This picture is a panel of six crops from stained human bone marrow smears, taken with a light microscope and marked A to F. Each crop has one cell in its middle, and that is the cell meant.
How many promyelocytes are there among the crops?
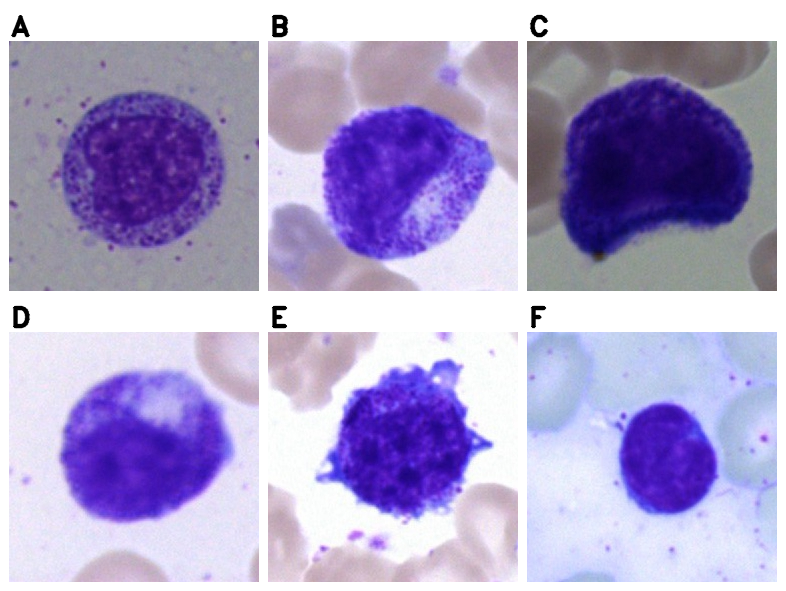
4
